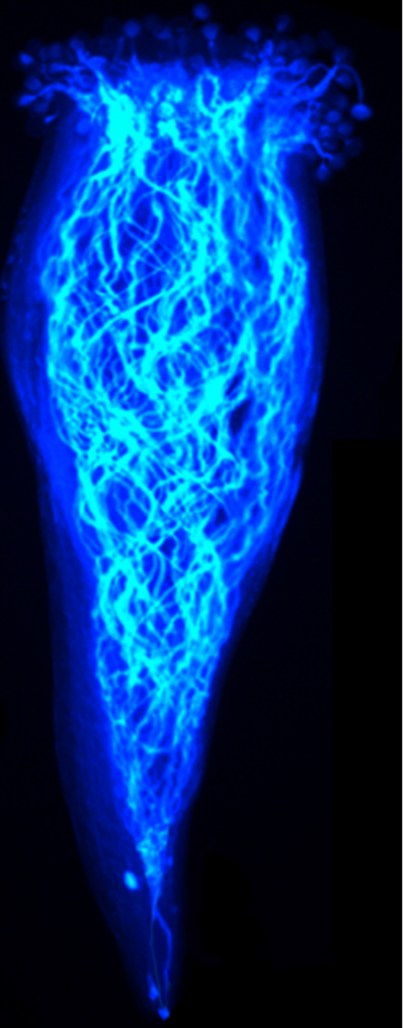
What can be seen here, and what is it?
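This is a style viewed whole under fluorescence, with many pollen tubes shining bright blue-white inside the paler blue tissue. Round pollen grains sit crowded along the top, at the stigma end. From them a dense bundle of long, thin, wavy tubes runs downward, crossing and twisting around each other. The bundle fills most of the width of the style in its upper and middle parts and narrows as the style tapers. The tubes continue all the way to the slender lower end, where only a few single threads remain.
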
